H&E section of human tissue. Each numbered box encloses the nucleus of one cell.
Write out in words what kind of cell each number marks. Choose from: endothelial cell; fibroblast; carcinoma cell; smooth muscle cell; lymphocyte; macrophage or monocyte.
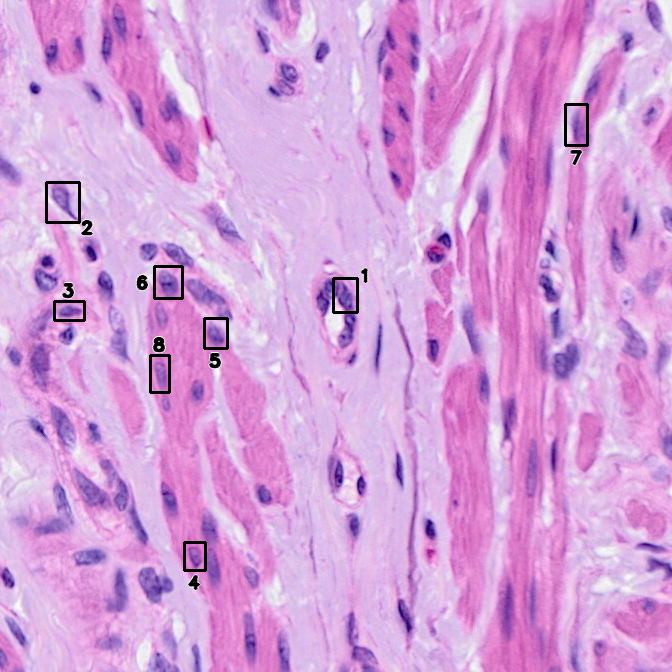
Cells 1 and 3 are endothelial cells. Cell 2 is a fibroblast. Cells 4, 5, 6, 7 and 8 are smooth muscle cells.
